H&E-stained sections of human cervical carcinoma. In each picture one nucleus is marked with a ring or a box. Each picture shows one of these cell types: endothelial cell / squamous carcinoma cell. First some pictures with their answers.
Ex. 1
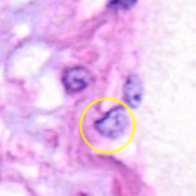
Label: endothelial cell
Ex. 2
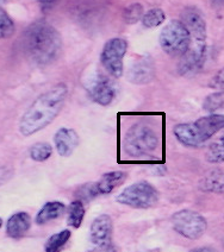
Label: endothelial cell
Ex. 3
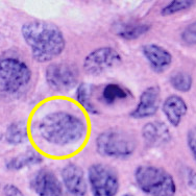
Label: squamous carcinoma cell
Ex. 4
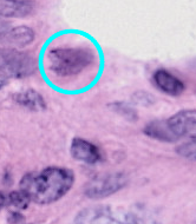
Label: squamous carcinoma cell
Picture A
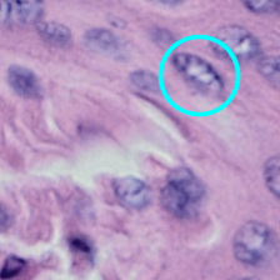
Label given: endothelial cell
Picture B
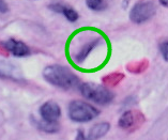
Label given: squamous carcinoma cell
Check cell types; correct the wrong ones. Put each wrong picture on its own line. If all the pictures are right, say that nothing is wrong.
Wrong: A (endothelial cell); correct: squamous carcinoma cell
Wrong: B (squamous carcinoma cell); correct: endothelial cell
